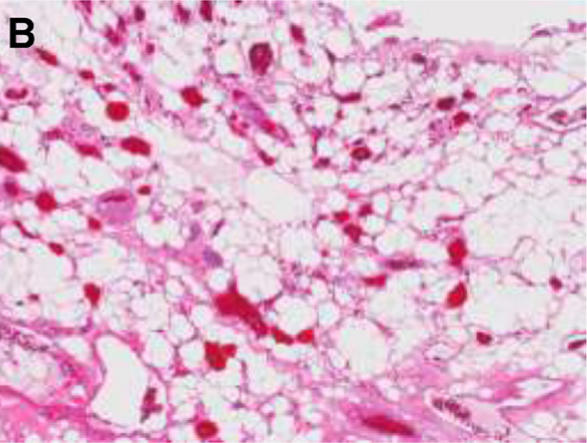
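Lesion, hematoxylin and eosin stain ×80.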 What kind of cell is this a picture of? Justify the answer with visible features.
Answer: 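Most of the field is filled with round, empty-looking clear spaces. The clear spaces are bounded by thin pink membranes in a honeycomb-like meshwork. On this evidence: mature adipocytes.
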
